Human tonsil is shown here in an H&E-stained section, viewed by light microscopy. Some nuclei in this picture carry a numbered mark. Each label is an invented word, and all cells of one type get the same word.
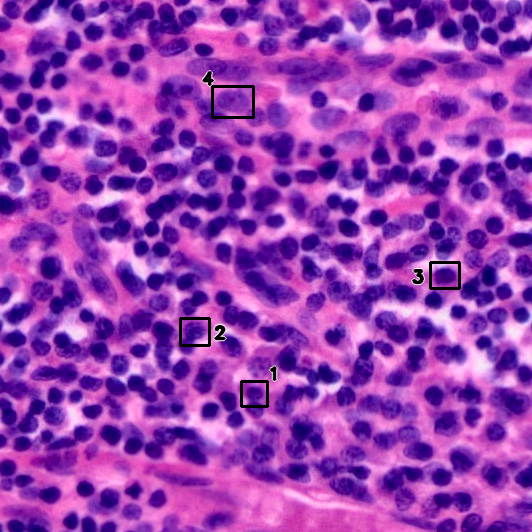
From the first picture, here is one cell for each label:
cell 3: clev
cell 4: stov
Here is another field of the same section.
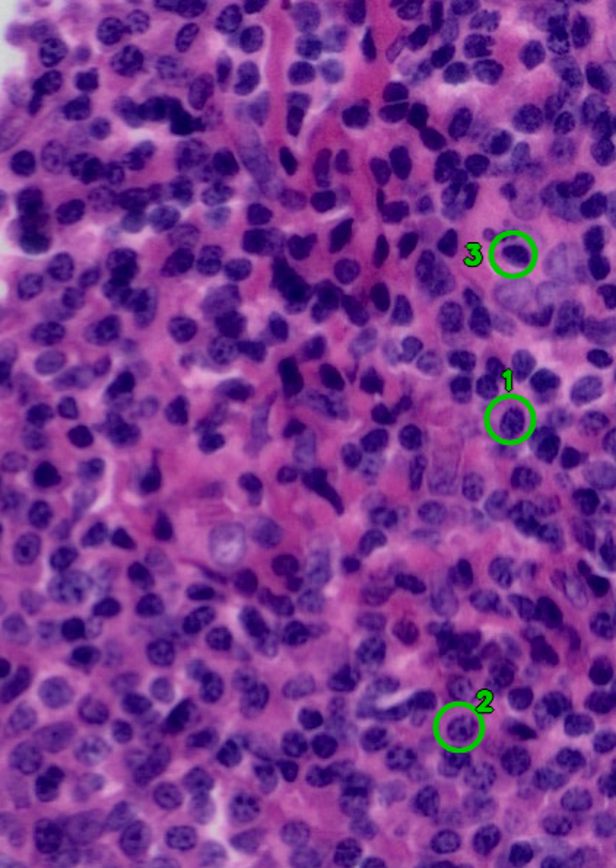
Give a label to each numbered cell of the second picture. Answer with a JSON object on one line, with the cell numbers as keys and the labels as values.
{"1": "clev", "2": "clev", "3": "stov"}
